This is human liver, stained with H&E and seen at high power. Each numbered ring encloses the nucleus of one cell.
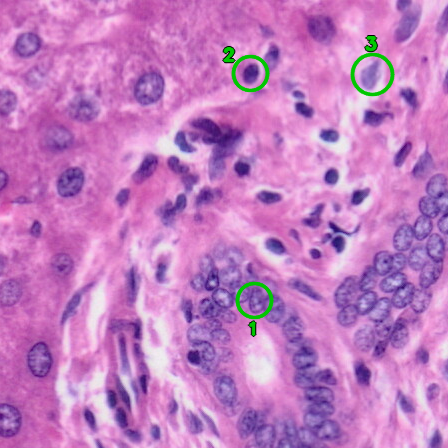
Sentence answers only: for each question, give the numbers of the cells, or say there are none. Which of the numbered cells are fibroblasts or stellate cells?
Being a fibroblast or stellate cell is true of cell 3 and of no other numbered cell.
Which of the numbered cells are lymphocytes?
The cell labelled 2 is a lymphocyte, while the remaining numbered cells are not.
